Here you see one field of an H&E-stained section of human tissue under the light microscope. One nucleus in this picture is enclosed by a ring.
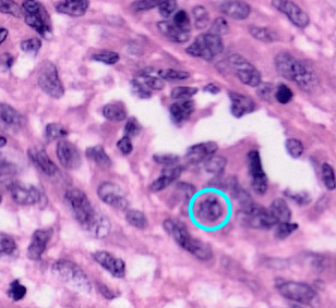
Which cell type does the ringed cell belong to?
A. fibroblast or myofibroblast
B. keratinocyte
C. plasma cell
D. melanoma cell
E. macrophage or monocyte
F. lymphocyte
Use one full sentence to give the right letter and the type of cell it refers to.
Option D names the ringed cell correctly as a melanoma cell.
